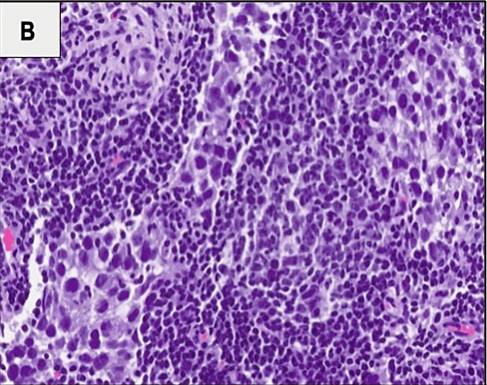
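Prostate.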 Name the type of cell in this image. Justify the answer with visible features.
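Numerous small round cells with dense dark purple nuclei and scant cytoplasm. These small dark cells lie among larger pale cells.
Small lymphocytes.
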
